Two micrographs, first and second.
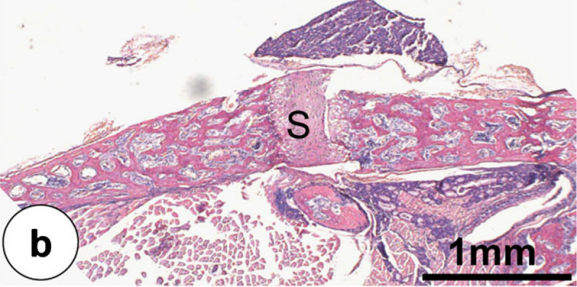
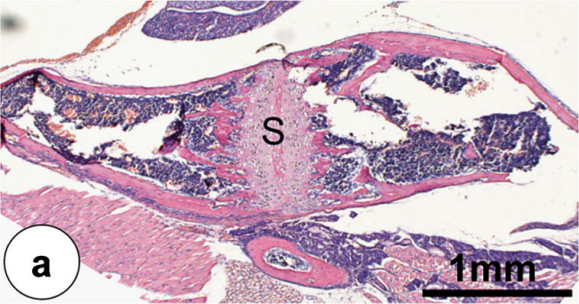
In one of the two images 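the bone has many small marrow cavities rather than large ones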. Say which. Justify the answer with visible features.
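First image: dense pink bone broken only by many small cavities. Second image: thin bone walls enclosing wide cavities filled with purple marrow.
Conclusion: the first image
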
